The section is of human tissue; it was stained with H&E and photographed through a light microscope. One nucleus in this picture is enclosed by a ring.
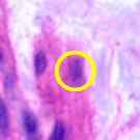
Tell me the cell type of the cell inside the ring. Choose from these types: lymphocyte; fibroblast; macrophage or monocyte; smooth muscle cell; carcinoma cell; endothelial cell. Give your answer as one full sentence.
The cell type represented by the cell inside the ring is that of a smooth muscle cell.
